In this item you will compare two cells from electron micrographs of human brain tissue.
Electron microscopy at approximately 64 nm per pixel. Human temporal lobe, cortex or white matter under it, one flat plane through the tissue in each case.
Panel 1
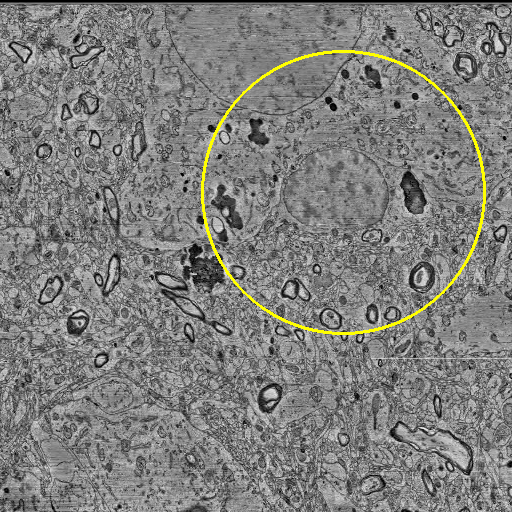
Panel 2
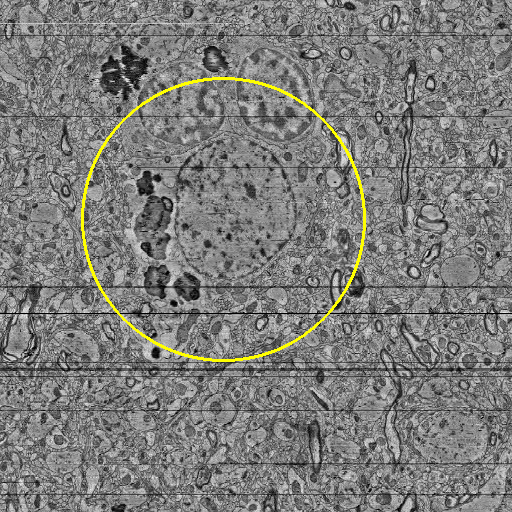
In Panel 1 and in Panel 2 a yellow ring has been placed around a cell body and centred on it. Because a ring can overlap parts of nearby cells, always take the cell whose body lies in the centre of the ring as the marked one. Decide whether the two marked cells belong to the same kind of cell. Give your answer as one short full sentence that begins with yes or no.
No, the two marked cells belong to two kinds of cell.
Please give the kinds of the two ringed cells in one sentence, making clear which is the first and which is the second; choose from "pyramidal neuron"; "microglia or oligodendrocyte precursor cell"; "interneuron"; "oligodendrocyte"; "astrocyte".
In the second picture the ringed cell is an astrocyte; in the first it is an oligodendrocyte.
